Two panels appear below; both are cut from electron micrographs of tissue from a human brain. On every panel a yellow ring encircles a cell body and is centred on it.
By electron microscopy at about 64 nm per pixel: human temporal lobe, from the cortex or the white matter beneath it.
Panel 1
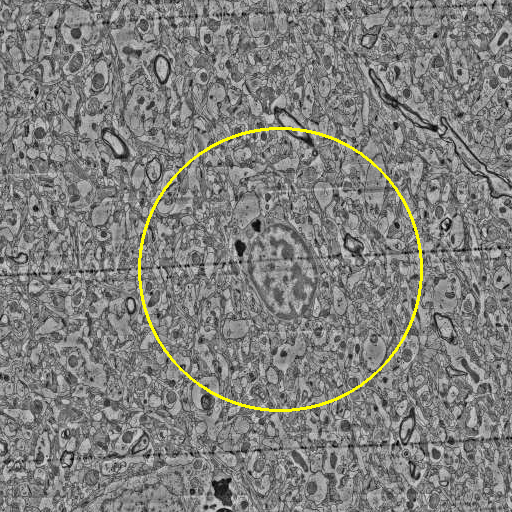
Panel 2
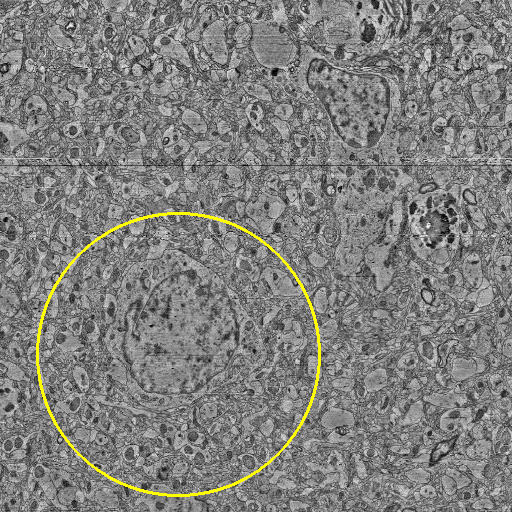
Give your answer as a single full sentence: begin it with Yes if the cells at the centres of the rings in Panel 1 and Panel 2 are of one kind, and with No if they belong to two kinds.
No, the cells in the middle of the rings in Panels 1 and 2 are of two kinds.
